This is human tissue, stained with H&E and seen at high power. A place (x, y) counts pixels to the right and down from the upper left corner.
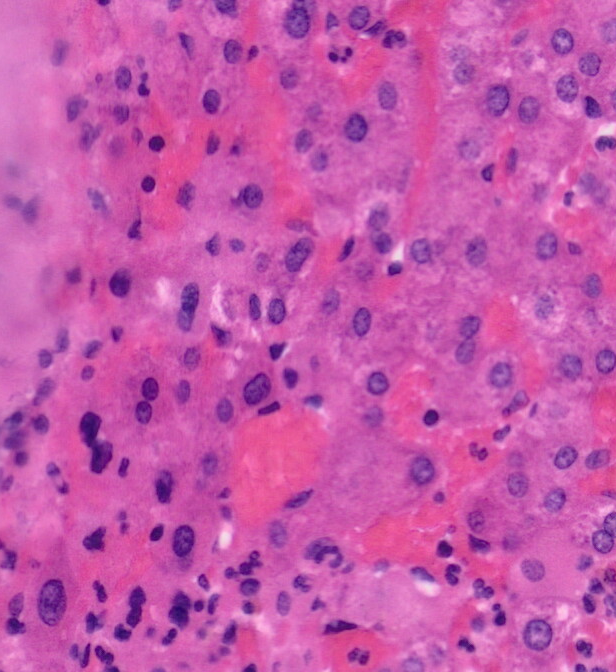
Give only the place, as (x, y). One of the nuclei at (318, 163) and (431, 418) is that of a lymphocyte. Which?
(431, 418)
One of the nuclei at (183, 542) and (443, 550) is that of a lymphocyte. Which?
(443, 550)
